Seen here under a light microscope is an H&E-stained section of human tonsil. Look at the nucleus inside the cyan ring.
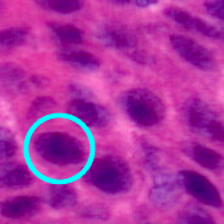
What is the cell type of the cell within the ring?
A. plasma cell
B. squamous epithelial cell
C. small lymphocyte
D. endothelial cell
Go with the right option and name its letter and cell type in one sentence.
In this section the cell within the ring is a squamous epithelial cell; option B is therefore correct.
